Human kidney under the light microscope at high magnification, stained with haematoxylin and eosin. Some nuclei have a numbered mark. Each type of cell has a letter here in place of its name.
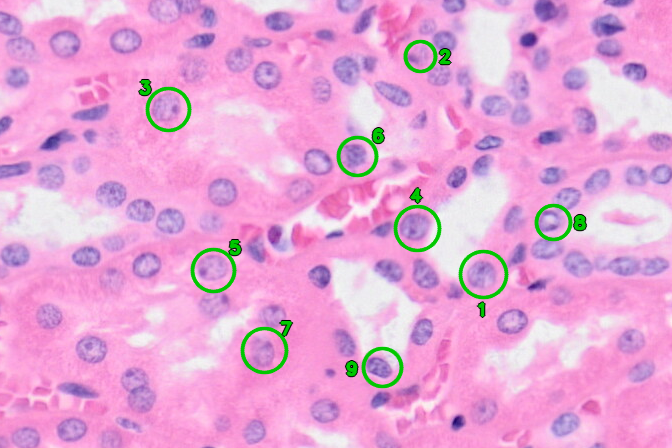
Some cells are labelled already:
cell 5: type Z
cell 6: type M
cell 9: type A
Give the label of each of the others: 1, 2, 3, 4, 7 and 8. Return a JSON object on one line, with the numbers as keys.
{"1": "type A", "2": "type M", "3": "type Z", "4": "type A", "7": "type Z", "8": "type M"}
